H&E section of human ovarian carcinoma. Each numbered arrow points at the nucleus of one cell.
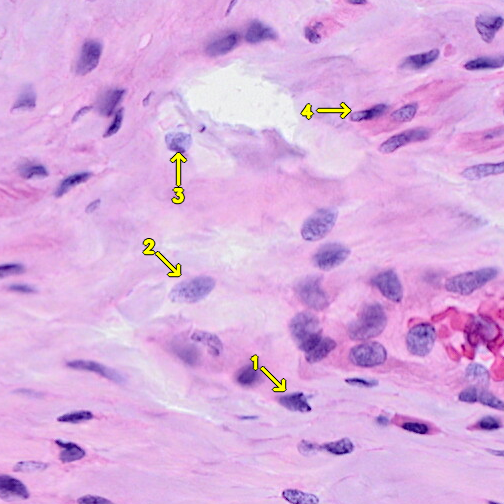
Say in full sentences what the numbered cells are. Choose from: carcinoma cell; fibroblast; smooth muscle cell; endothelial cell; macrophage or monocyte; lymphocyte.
Cell 1 is a fibroblast, cell 2 is a fibroblast, cell 3 is a fibroblast and cell 4 is a smooth muscle cell.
